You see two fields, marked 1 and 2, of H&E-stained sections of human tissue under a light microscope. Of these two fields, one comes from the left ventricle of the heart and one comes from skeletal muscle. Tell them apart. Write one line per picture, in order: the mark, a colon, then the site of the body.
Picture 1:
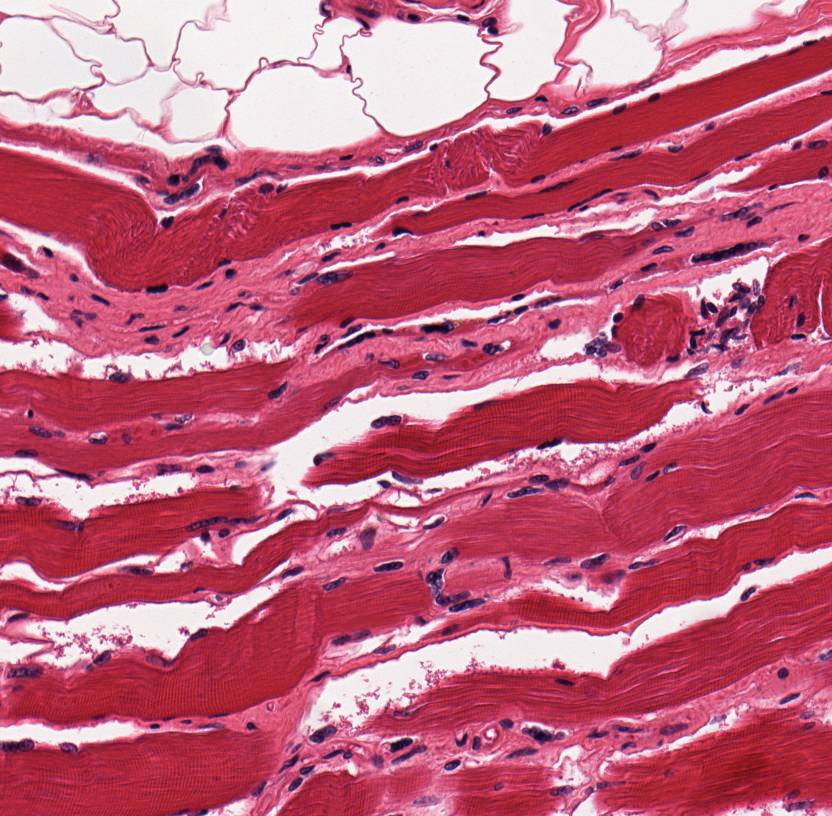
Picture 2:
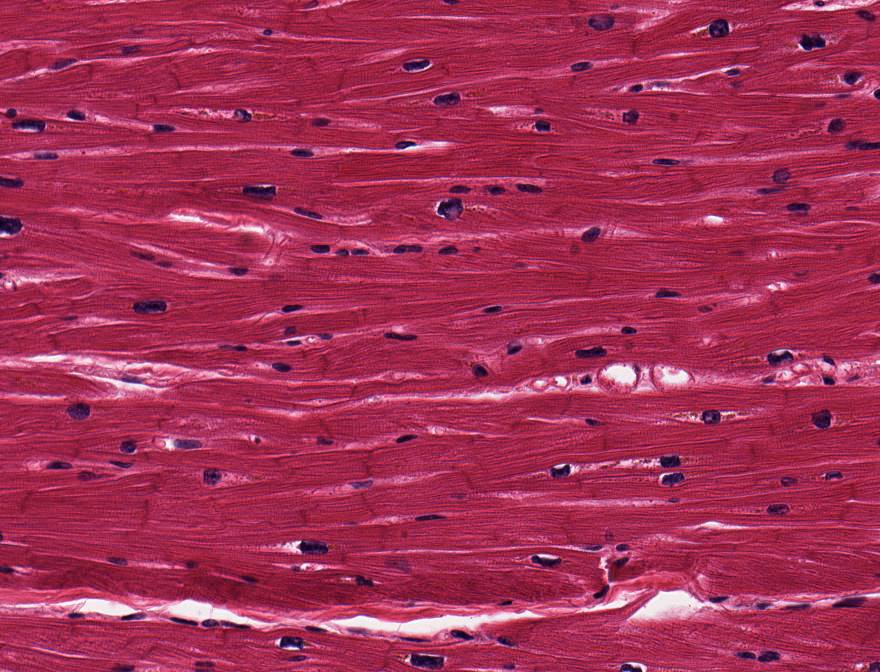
1: skeletal muscle
2: left ventricle of the heart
